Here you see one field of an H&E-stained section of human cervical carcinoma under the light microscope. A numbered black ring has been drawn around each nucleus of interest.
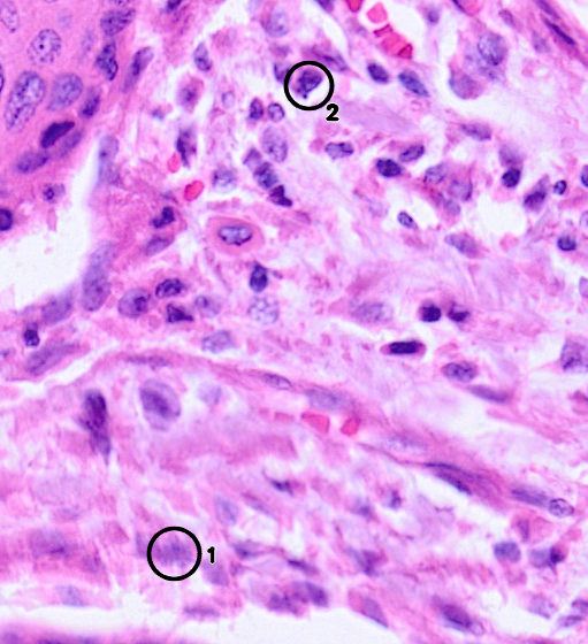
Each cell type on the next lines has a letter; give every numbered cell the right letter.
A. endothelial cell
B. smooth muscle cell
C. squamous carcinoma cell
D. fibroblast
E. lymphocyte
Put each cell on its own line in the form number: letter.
1: D
2: E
